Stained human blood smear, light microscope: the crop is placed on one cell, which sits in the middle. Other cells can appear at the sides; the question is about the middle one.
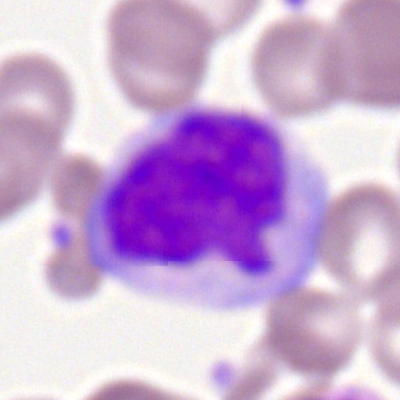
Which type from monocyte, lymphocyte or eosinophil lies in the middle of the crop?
monocyte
